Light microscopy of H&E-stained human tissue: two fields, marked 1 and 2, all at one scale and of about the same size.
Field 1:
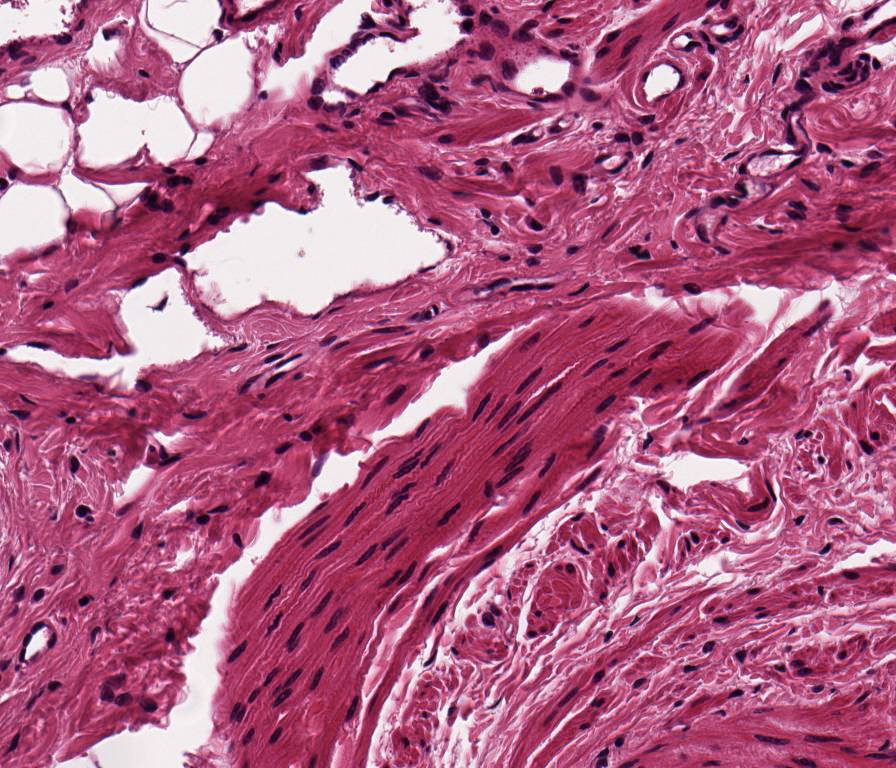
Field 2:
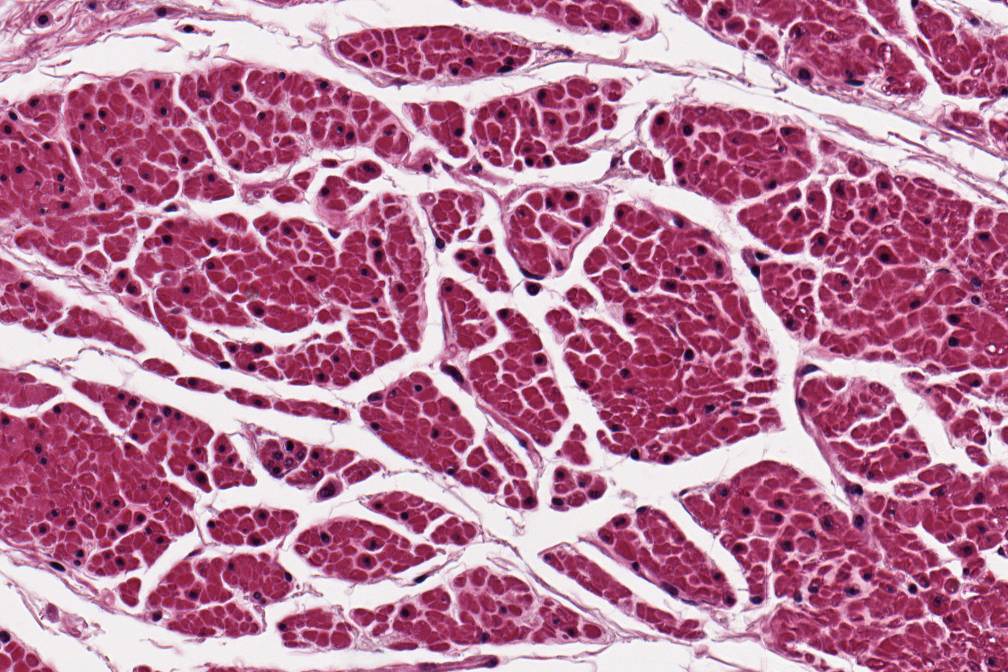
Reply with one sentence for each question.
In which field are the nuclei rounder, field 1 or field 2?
On the whole the nuclei of field 2 are rounder than those of field 1.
